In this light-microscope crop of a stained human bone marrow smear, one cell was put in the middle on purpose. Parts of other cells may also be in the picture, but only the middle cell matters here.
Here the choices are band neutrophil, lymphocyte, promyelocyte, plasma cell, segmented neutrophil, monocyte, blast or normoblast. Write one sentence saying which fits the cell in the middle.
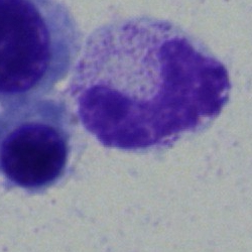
The cell sitting right in the middle is a band neutrophil.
